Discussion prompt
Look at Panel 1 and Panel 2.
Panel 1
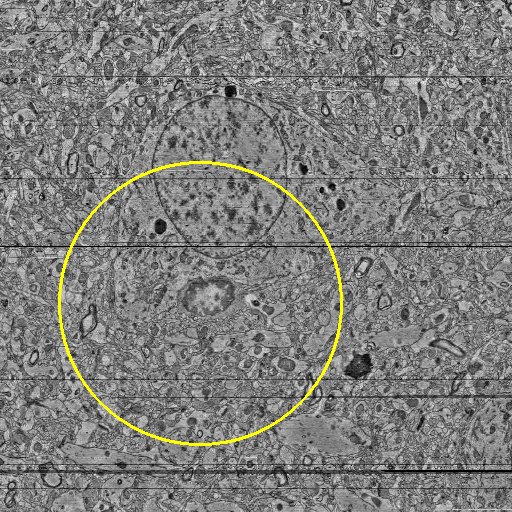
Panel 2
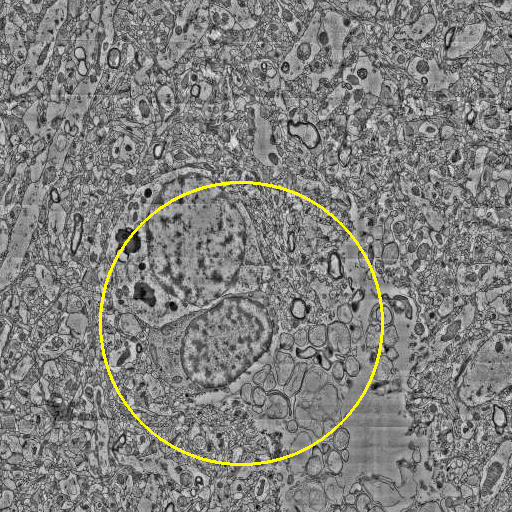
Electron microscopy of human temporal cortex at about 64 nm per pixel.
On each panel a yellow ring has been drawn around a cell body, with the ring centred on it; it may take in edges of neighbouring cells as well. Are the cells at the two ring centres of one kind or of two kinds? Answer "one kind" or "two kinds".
one kind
